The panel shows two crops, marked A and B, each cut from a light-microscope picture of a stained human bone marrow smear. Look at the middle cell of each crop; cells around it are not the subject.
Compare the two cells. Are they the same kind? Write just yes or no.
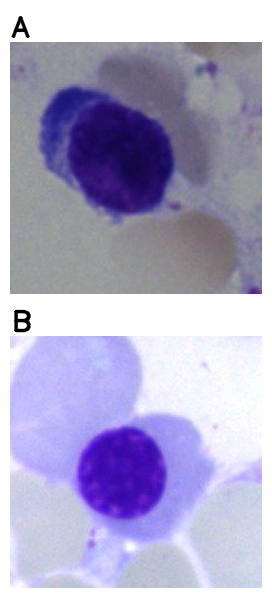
no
